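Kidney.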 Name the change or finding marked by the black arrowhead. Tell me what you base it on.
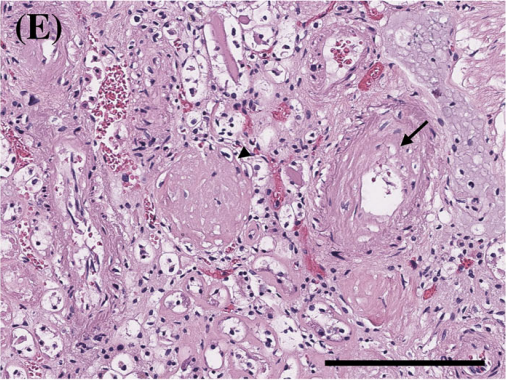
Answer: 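The arrowhead marks a round structure filled with pale pink homogeneous material. Few nuclei remain within the round structure.
Answer: glomerulosclerosis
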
